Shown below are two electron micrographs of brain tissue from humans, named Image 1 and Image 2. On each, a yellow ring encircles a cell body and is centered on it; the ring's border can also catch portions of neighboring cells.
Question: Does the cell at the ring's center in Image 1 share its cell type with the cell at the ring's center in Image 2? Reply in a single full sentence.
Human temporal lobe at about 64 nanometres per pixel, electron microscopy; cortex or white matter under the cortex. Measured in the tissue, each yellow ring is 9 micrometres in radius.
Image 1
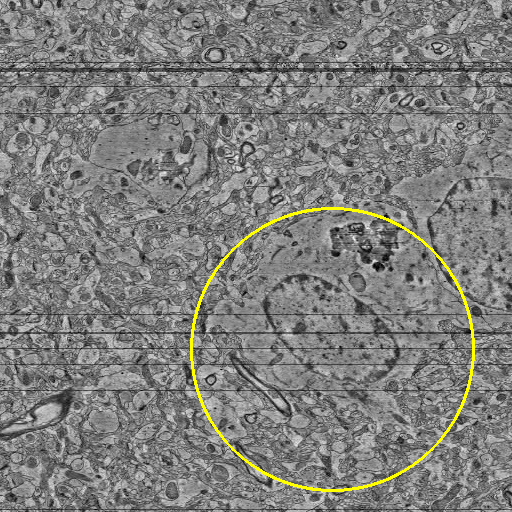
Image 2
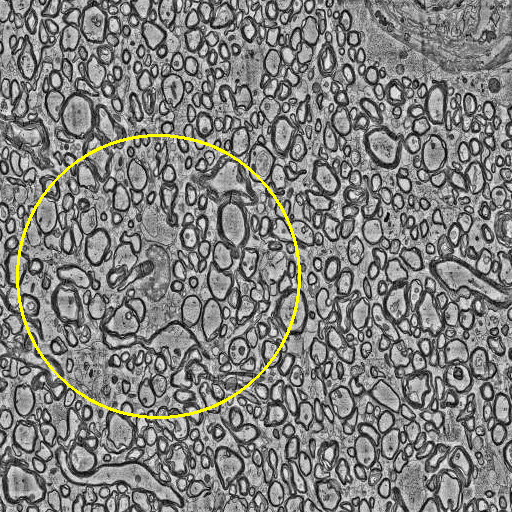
No, the two cells at the ring centers, in Image 1 and Image 2, are of two cell types.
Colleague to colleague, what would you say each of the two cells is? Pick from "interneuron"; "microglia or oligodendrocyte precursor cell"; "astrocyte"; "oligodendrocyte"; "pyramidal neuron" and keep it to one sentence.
The cell in the first picture is an astrocyte; the second picture's cell is an oligodendrocyte.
